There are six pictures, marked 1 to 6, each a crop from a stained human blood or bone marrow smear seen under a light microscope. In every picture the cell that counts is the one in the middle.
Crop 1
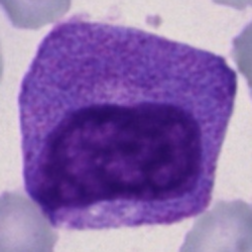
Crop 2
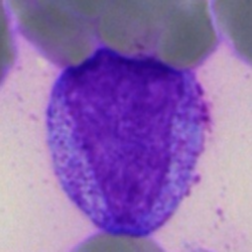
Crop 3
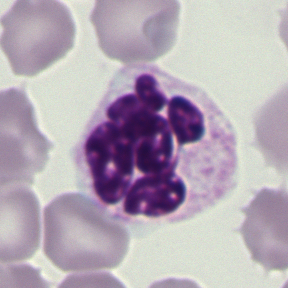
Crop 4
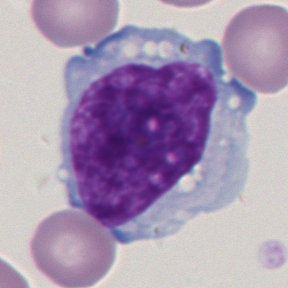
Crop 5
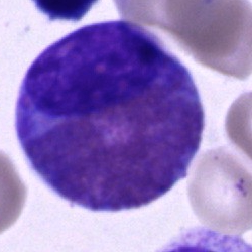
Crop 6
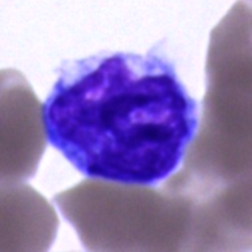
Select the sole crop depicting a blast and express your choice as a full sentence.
Of all the crops, crop 4 is the one showing a blast.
